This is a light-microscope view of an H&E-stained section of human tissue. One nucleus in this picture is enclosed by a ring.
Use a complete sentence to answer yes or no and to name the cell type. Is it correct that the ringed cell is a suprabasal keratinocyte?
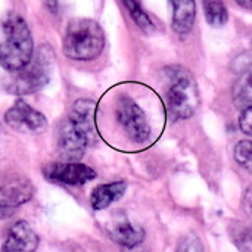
No, the ringed cell is termed a melanoma cell, not a suprabasal keratinocyte.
